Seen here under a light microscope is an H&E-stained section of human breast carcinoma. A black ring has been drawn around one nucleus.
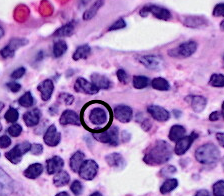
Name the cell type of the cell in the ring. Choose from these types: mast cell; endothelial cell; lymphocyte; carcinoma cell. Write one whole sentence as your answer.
The category to which the cell in the ring belongs is that of a lymphocyte.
